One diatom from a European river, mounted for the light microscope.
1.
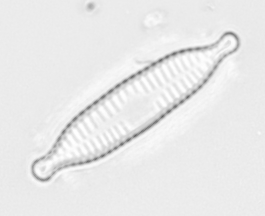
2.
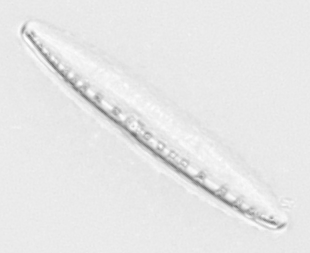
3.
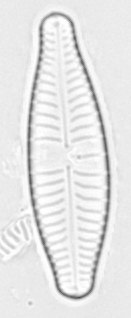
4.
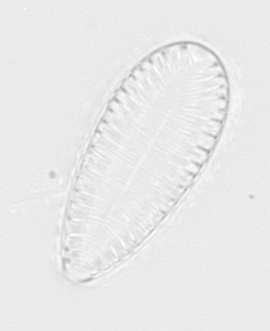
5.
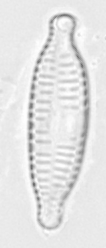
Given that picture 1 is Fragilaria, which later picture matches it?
5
